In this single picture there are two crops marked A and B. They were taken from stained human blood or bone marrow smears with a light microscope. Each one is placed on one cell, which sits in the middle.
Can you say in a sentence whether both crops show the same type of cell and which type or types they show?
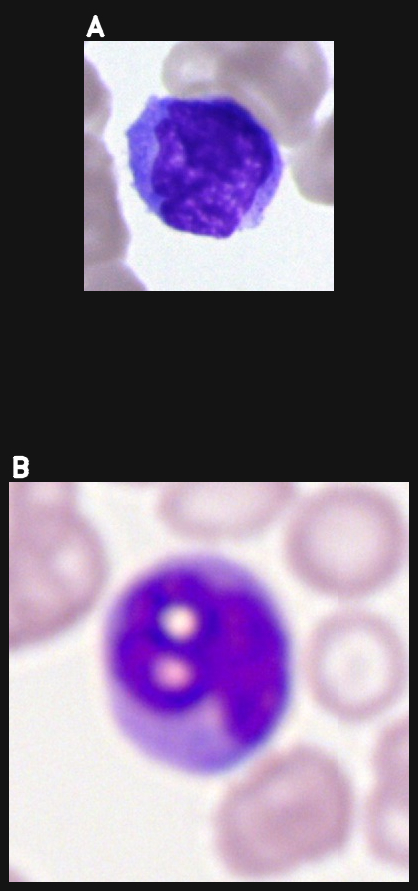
Yes, that holds, both crops show monocytes.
